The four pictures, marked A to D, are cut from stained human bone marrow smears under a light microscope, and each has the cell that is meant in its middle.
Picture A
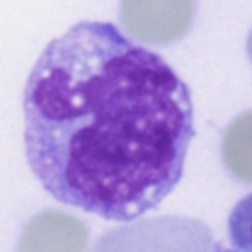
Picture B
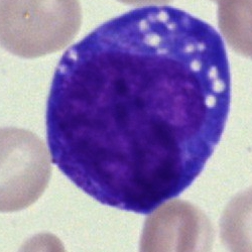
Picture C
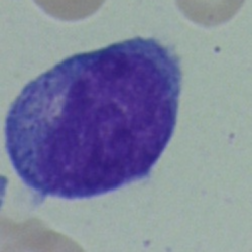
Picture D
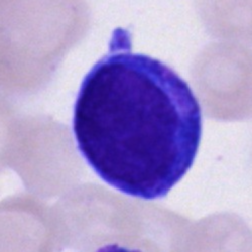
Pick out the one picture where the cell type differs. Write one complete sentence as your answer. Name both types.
The different one is picture A; it shows a monocyte, whereas all the others show blasts.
